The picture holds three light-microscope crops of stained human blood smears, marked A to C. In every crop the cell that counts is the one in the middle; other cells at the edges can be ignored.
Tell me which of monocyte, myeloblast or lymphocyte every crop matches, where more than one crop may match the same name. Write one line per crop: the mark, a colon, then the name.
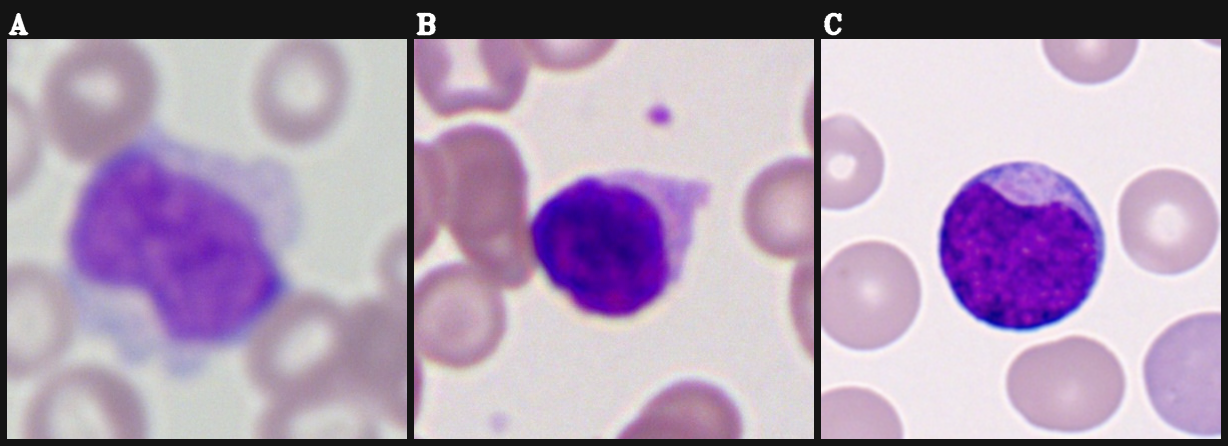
A: monocyte
B: lymphocyte
C: myeloblast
